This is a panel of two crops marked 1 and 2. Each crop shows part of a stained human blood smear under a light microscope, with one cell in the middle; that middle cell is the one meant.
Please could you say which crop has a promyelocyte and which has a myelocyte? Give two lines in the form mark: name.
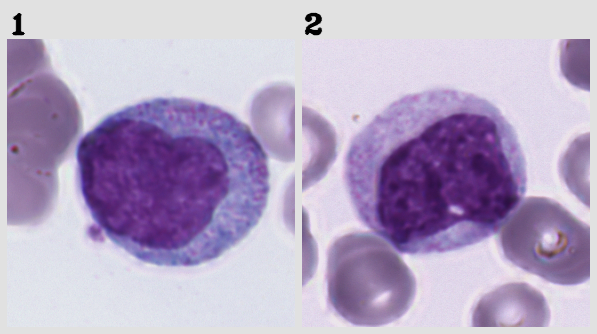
1: promyelocyte
2: myelocyte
